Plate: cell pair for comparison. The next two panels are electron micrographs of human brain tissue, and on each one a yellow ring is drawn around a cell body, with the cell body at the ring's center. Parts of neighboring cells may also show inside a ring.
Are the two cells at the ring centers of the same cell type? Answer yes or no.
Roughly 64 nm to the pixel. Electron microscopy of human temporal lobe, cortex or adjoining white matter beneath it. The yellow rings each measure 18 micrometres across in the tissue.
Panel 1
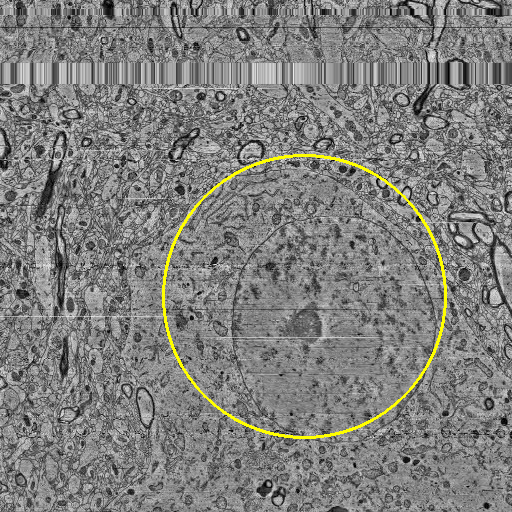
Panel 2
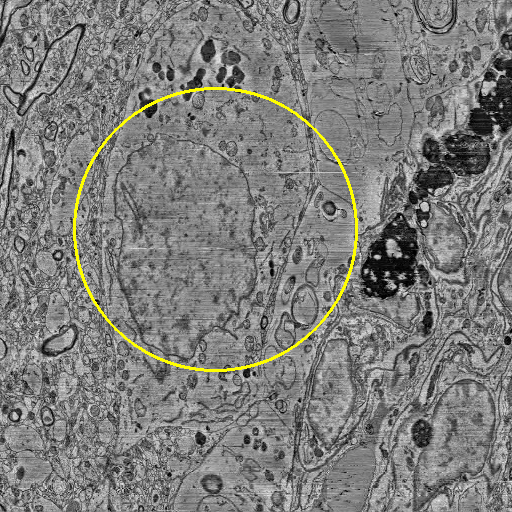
yes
